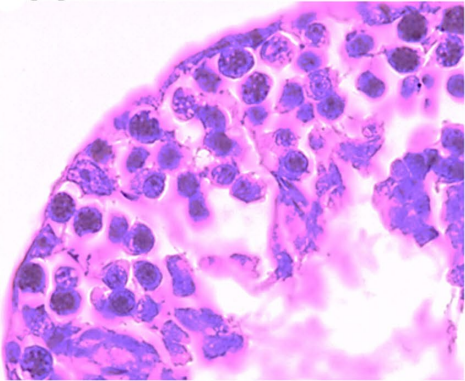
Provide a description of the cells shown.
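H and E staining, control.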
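This is the edge of a seminiferous tubule in cross section, stained with pink cytoplasm and purple nuclei. Several layers of round germ cells sit along the curved tubule wall at the upper left, many with large rounded nuclei and granular chromatin, consistent with spermatocytes. Toward the center the cells are more loosely spread, with pale pink cytoplasm between them. A largely empty, pale lumen lies toward the lower right.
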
